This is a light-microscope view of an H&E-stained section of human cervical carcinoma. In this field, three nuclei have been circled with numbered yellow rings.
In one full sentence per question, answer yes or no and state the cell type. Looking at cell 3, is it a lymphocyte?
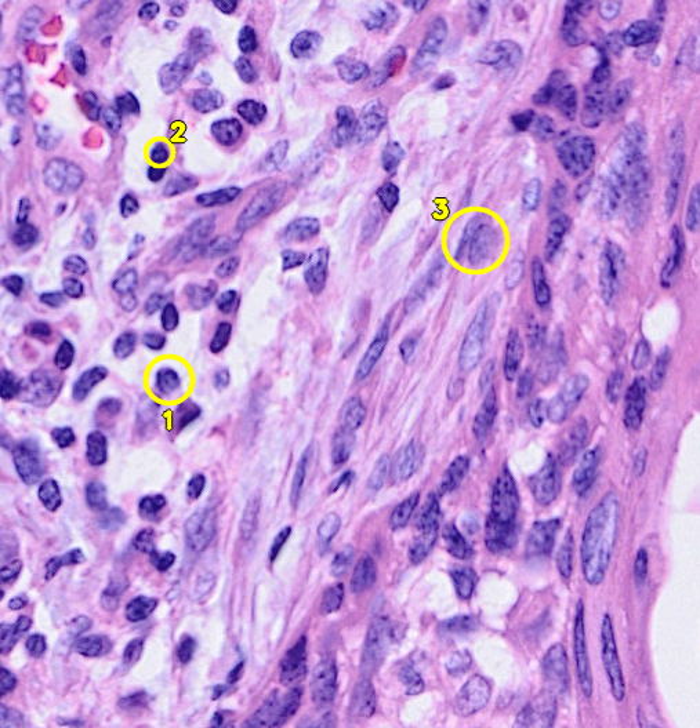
No, the one with number 3 is a fibroblast, not a lymphocyte.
